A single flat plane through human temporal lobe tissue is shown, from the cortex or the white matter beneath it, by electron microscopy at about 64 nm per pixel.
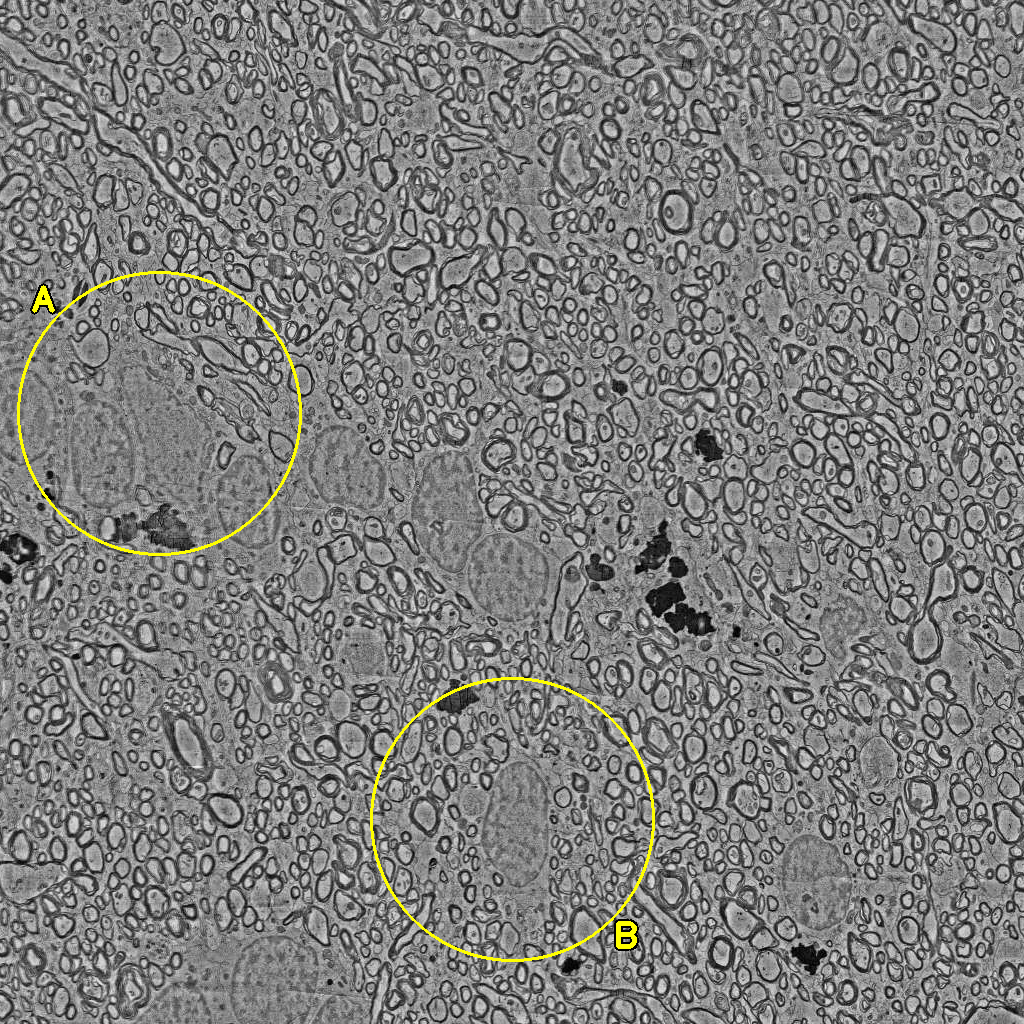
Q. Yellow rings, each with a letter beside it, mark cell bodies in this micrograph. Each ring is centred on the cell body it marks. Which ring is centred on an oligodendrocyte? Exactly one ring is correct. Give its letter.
B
